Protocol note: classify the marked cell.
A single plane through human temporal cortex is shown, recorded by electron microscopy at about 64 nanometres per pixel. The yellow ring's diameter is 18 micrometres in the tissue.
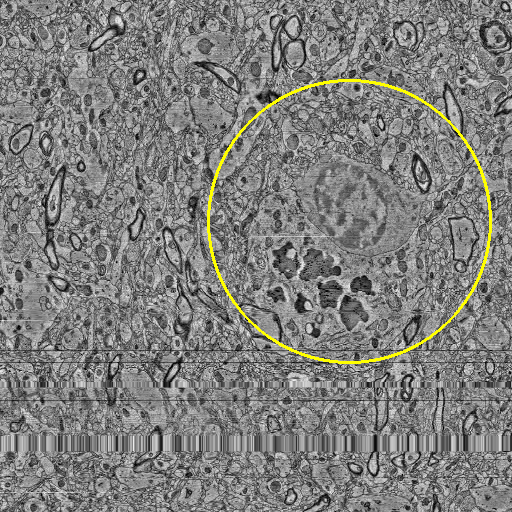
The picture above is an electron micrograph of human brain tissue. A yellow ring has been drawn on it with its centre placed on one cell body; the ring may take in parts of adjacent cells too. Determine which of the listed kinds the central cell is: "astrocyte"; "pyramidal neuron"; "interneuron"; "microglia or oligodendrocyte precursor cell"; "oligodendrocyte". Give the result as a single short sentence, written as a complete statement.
The central cell is an oligodendrocyte.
